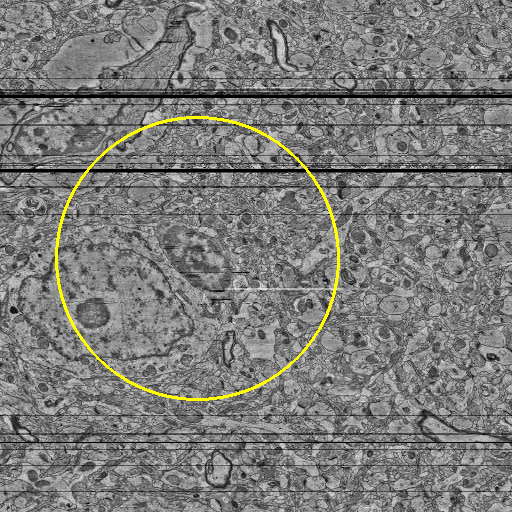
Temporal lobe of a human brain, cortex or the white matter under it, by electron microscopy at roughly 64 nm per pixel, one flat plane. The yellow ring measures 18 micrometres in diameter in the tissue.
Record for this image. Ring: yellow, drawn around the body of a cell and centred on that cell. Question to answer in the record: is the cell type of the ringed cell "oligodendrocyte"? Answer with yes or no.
yes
